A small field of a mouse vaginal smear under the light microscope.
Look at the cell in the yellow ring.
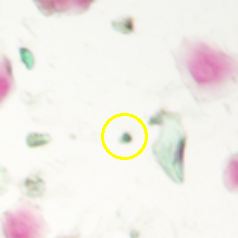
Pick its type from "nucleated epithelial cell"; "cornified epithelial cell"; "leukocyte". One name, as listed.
leukocyte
